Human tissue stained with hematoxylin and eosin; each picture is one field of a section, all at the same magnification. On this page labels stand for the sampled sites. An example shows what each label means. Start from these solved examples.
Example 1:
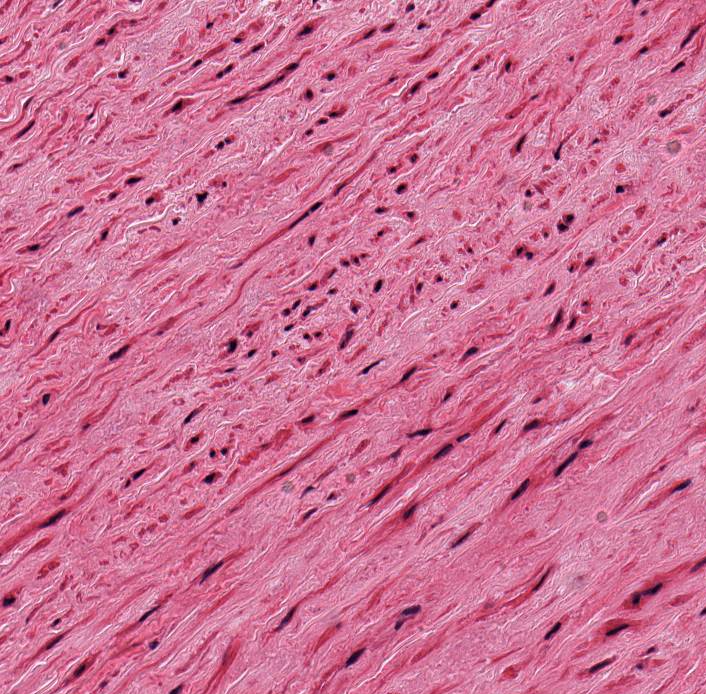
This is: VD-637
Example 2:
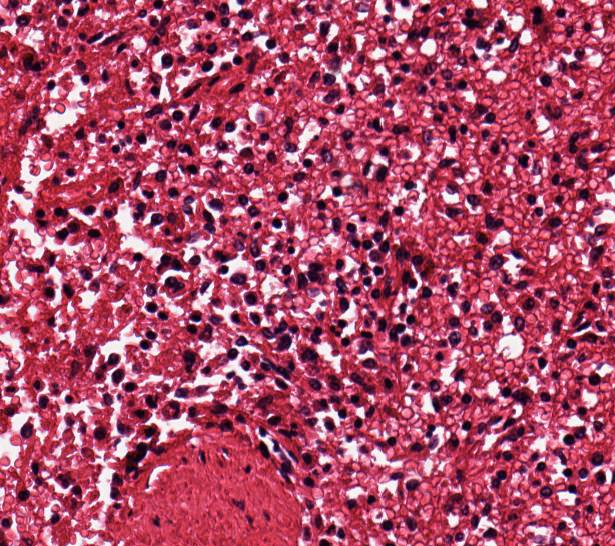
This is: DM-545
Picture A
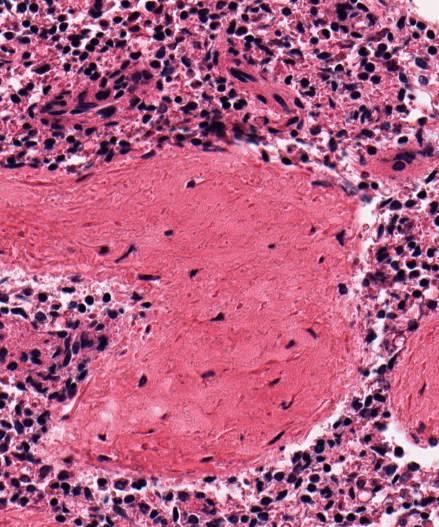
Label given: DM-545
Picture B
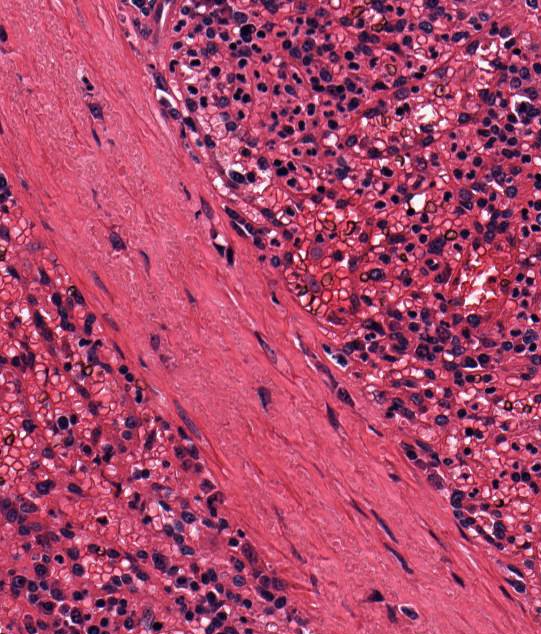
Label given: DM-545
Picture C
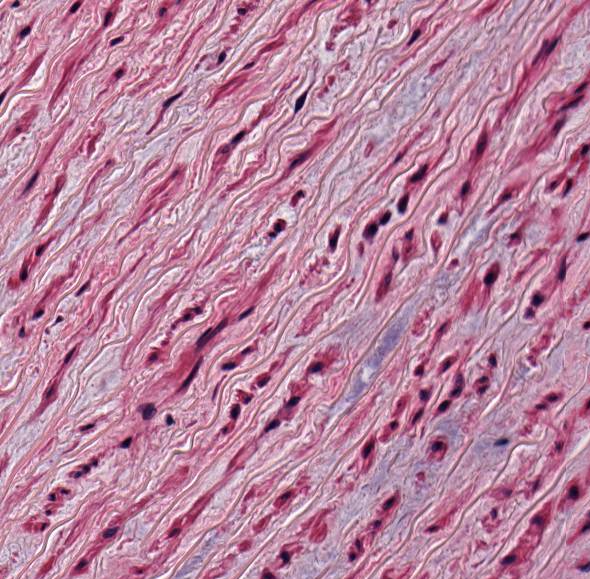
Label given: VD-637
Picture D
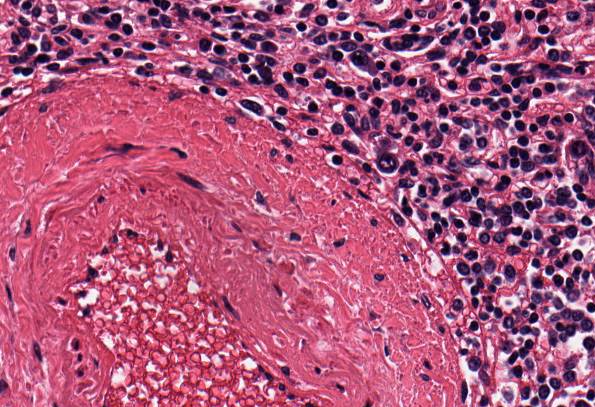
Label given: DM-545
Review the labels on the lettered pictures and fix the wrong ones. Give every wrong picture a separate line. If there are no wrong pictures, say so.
All correct.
